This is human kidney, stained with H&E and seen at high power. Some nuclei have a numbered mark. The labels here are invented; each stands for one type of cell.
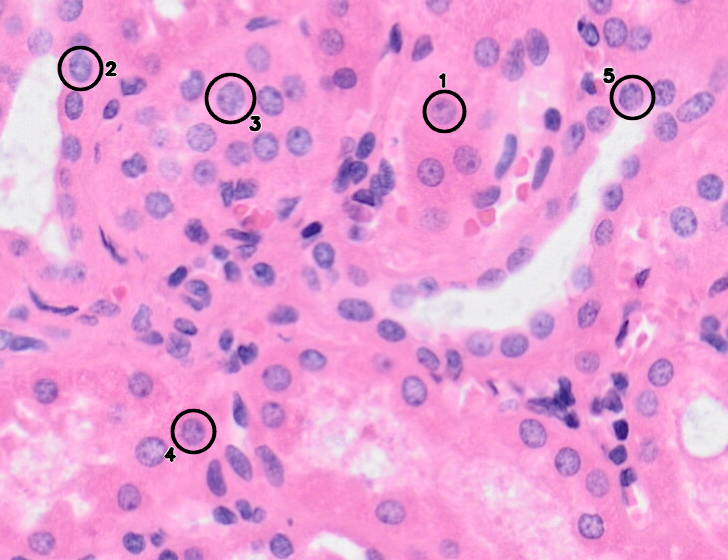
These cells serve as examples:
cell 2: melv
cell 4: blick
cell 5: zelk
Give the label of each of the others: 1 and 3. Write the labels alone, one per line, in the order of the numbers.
blick
melv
